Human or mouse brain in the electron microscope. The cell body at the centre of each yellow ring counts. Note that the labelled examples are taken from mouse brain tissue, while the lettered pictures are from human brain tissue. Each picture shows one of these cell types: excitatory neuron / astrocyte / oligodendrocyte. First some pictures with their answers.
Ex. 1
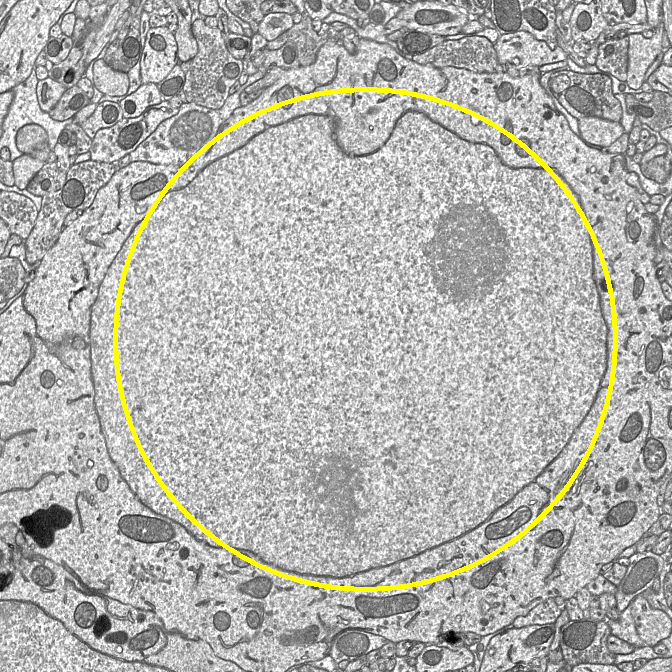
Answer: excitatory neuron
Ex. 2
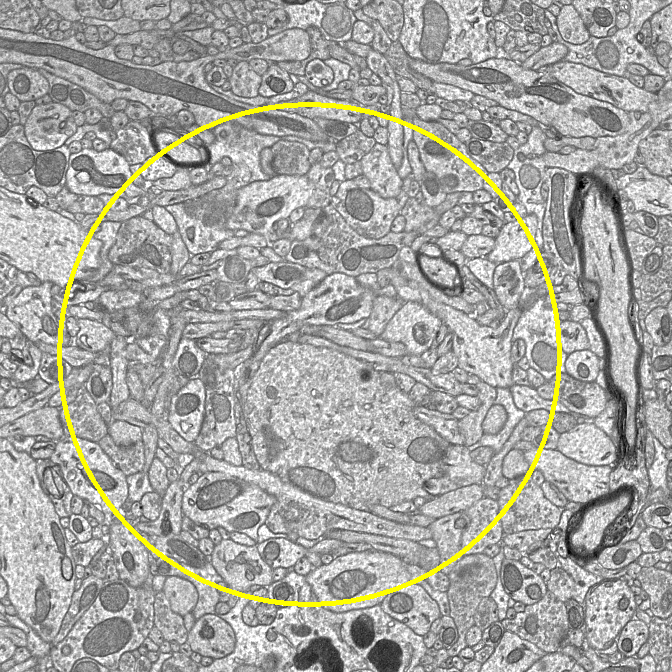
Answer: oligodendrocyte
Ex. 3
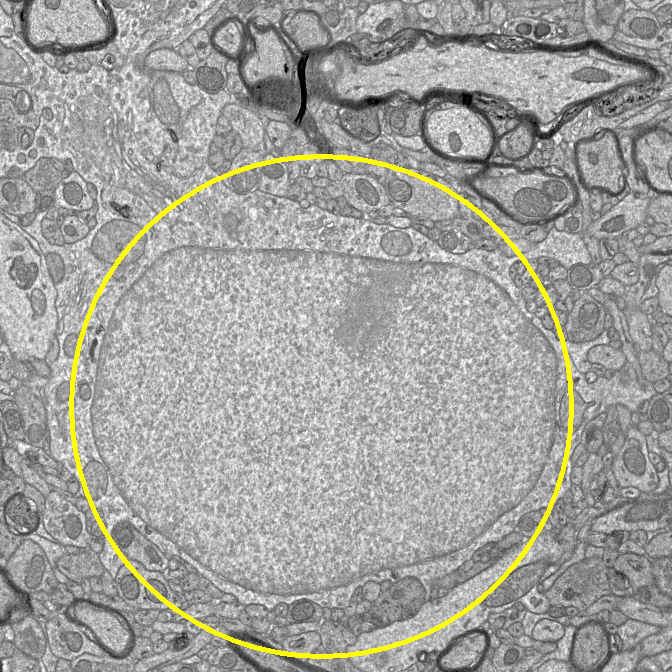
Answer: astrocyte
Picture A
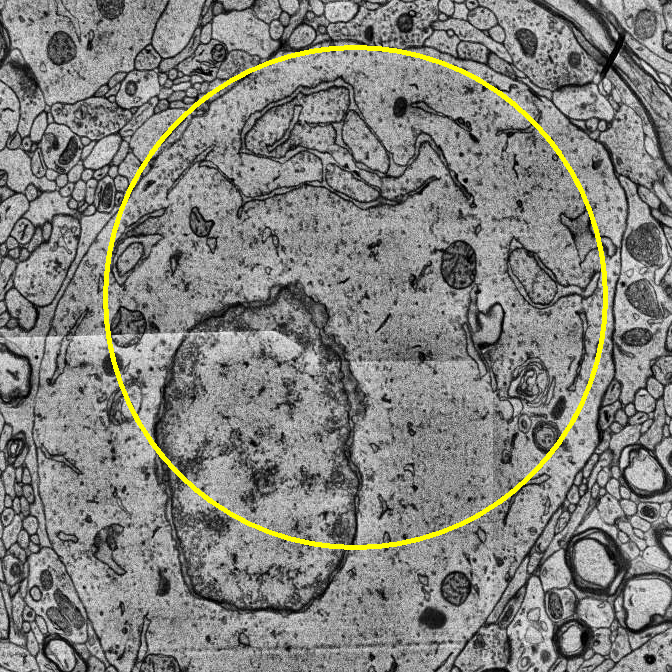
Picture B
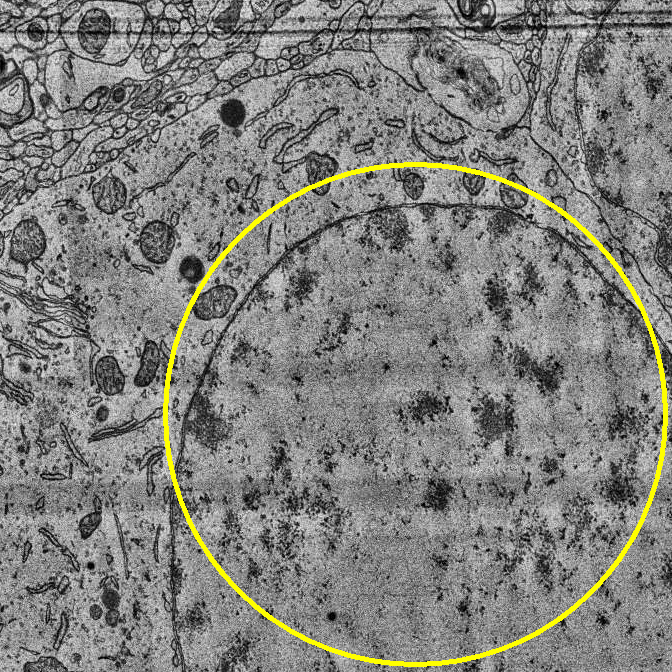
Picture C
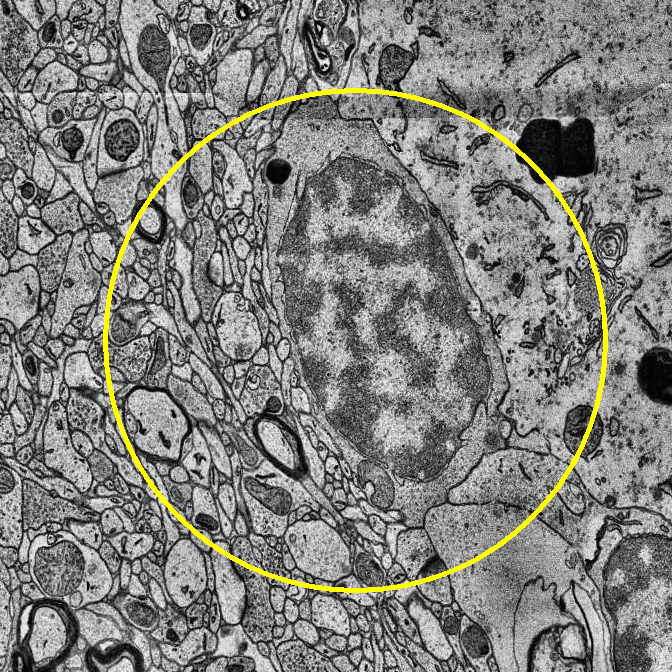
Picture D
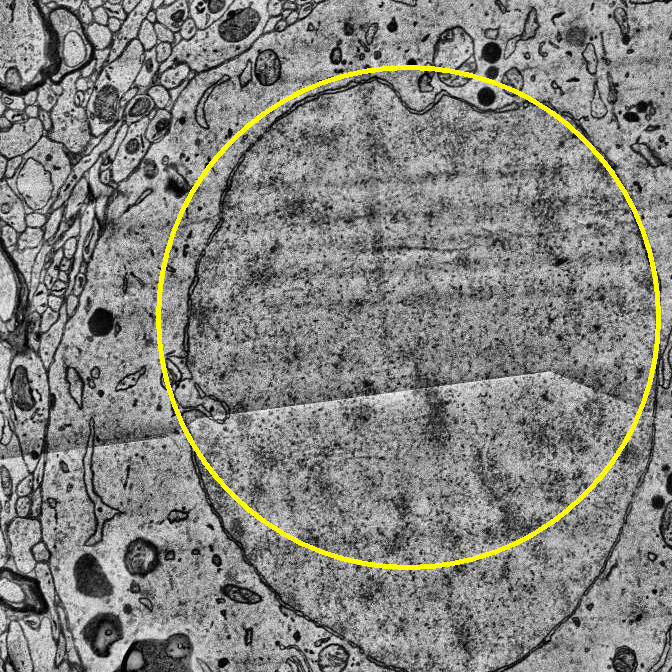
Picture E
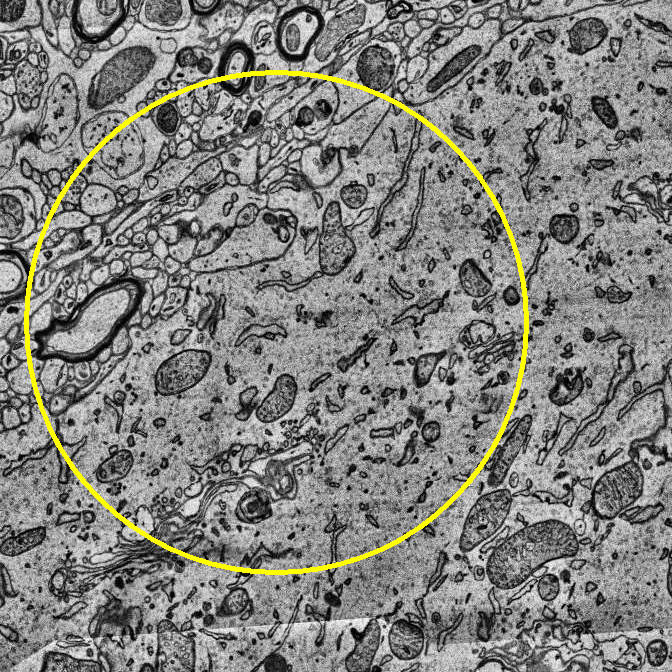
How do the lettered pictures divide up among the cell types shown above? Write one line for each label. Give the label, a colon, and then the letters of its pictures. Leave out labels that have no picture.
excitatory neuron: A, B, D, E
oligodendrocyte: C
